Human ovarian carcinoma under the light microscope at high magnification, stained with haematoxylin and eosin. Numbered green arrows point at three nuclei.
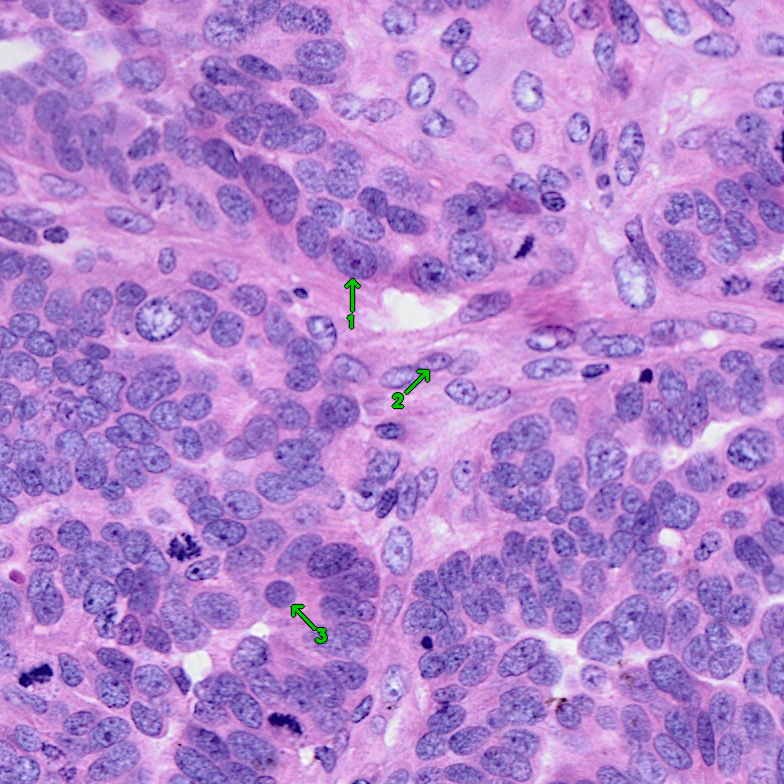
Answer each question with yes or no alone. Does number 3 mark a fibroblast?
no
